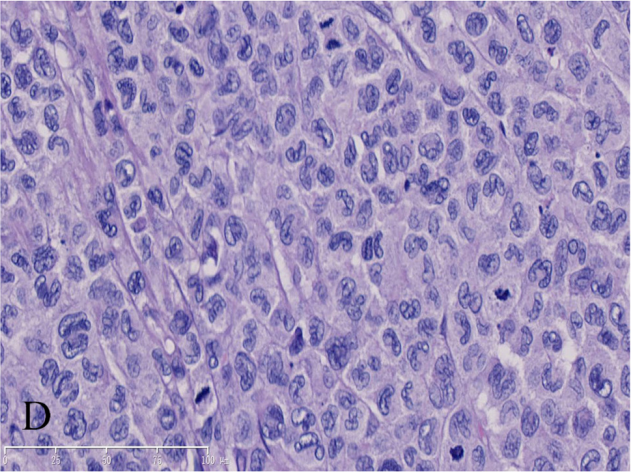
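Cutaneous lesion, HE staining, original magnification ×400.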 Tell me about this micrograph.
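Many nuclei are folded, grooved or kidney-shaped, with vesicular chromatin and small nucleoli. The cytoplasm is pale pink to grey-purple, and the borders between neighbouring cells are hard to make out, so the cells seem to merge. A thin strand of spindled stromal tissue crosses the left side of the field.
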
